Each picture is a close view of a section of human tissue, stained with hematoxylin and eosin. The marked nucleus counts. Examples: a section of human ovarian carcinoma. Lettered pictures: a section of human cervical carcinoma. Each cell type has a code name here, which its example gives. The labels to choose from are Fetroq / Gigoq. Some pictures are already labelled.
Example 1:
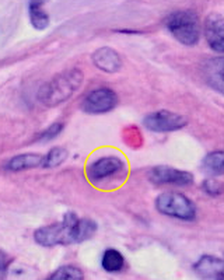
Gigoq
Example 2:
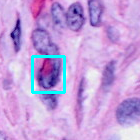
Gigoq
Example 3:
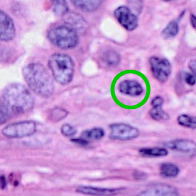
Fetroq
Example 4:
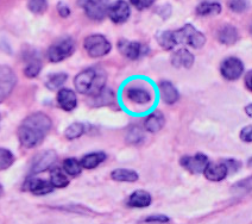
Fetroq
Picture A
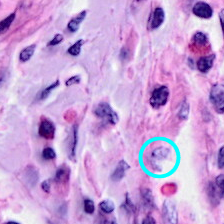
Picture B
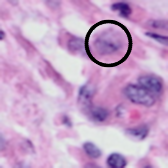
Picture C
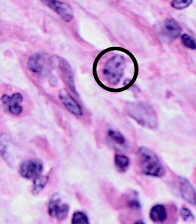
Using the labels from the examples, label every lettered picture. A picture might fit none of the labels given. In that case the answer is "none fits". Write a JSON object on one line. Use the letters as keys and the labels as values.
{"A": "Gigoq", "B": "none fits", "C": "none fits"}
